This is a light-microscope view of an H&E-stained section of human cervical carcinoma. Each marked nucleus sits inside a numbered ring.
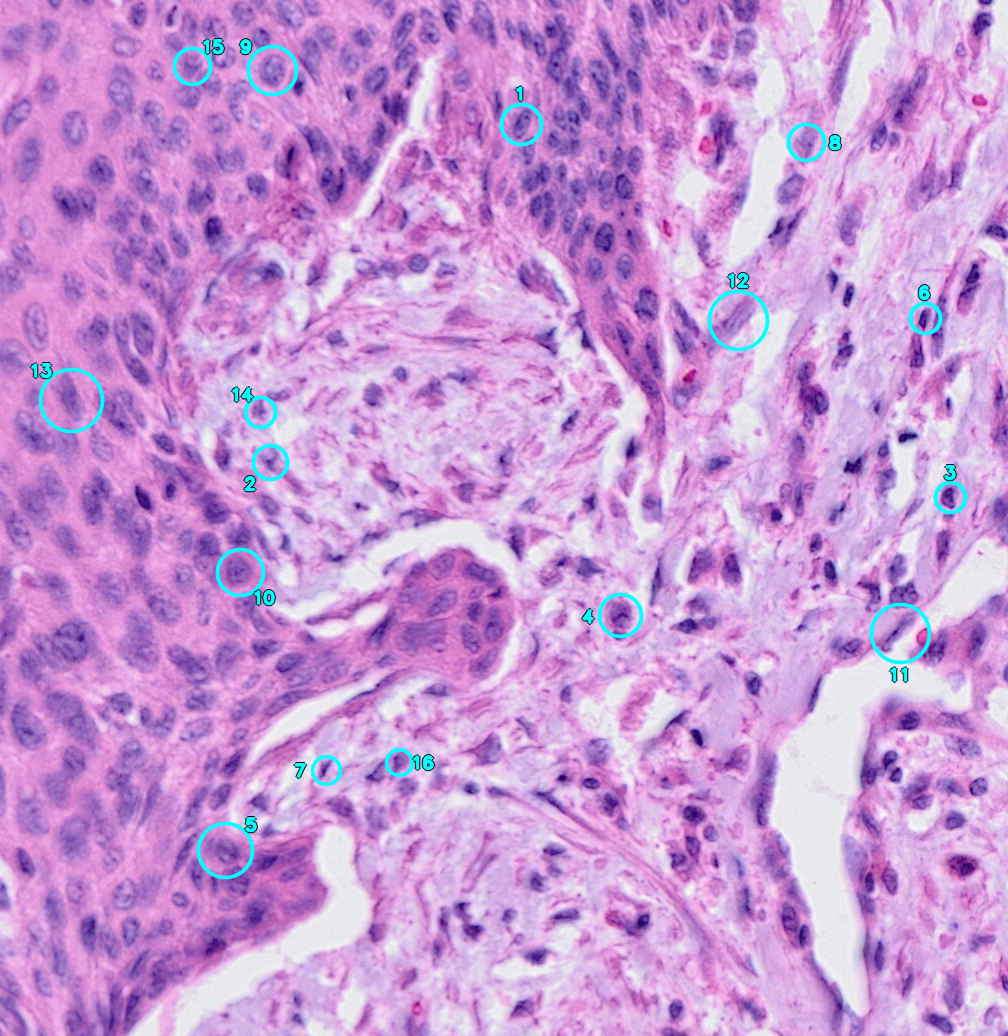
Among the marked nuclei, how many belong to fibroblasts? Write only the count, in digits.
6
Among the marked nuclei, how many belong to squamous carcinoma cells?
6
